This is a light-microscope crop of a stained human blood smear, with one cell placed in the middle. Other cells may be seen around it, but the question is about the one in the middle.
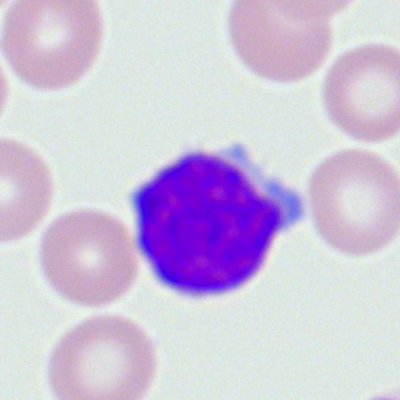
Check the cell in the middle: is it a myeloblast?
no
